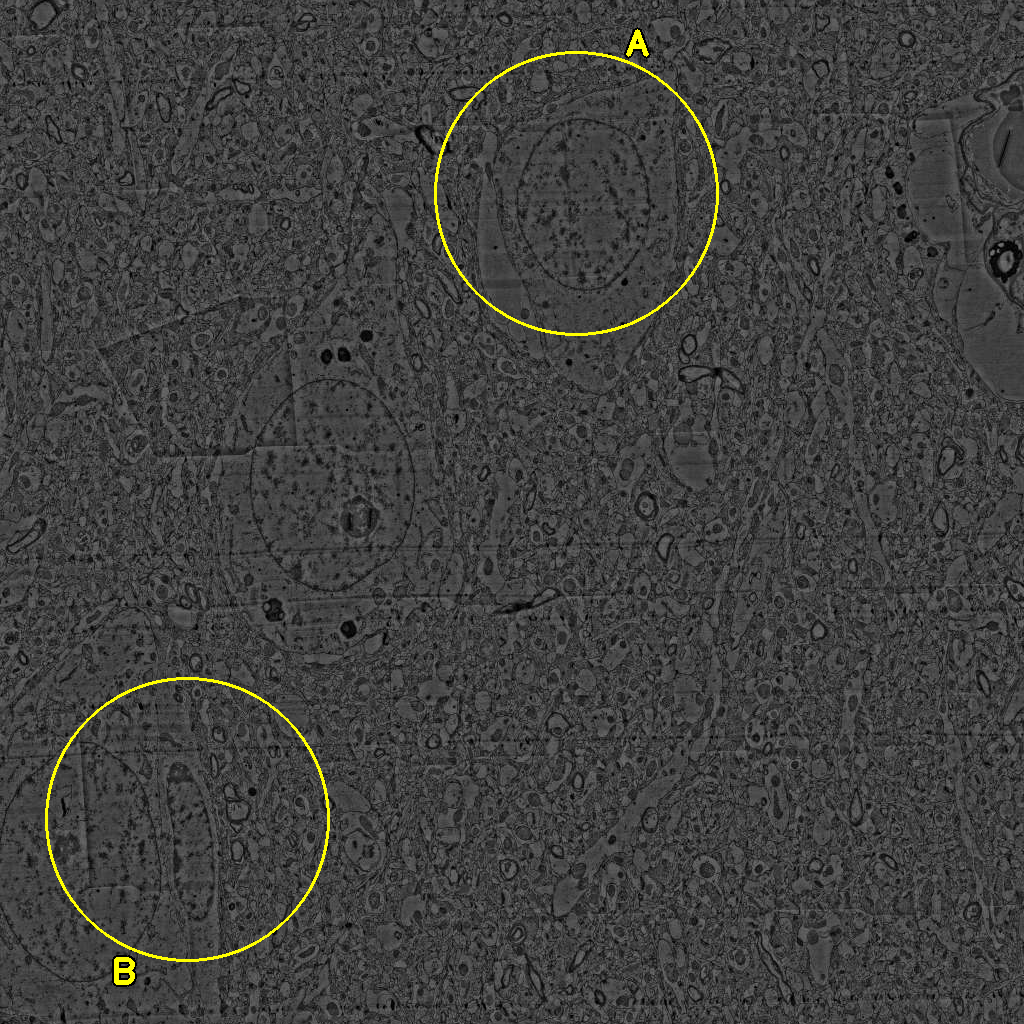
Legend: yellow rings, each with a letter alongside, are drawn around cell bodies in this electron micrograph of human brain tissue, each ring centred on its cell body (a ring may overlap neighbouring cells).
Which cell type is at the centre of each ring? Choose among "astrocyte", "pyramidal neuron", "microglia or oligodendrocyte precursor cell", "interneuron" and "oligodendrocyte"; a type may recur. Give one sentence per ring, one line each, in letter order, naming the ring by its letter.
Ring A has a pyramidal neuron at its centre.
Ring B has a microglial cell or oligodendrocyte precursor cell at its centre.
